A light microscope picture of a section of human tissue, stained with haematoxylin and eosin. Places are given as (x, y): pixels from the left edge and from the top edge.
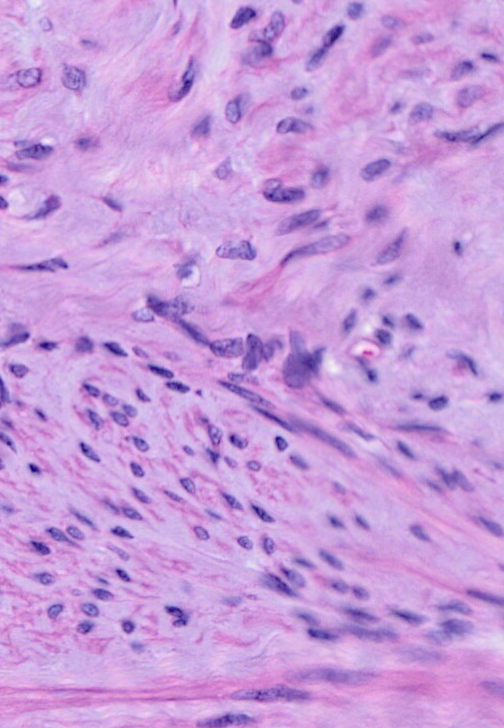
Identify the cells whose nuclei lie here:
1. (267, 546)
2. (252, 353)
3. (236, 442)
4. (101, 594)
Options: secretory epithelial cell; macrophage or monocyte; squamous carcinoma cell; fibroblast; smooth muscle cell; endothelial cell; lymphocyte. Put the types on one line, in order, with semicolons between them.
smooth muscle cell; fibroblast; smooth muscle cell; smooth muscle cell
